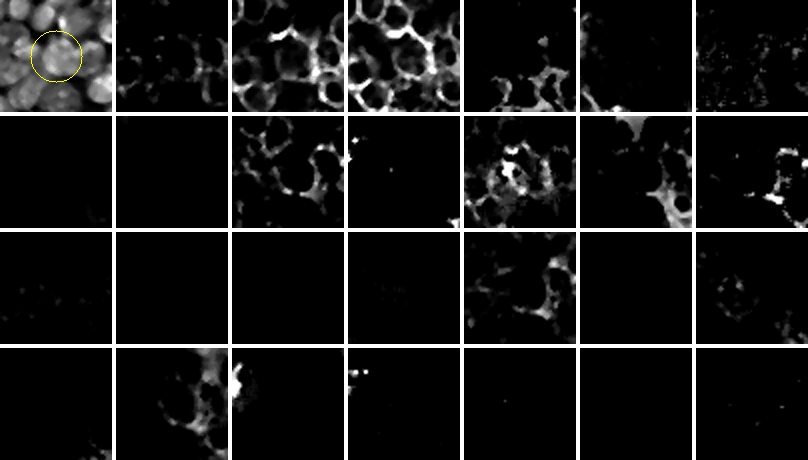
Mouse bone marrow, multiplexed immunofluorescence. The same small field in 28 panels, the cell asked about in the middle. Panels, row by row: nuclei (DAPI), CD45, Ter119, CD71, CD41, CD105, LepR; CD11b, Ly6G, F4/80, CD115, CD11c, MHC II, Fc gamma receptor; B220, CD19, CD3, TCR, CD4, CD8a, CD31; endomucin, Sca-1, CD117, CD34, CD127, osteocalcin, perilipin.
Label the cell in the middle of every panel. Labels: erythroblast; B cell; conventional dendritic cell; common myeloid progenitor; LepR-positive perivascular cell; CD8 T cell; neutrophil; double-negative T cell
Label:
erythroblast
